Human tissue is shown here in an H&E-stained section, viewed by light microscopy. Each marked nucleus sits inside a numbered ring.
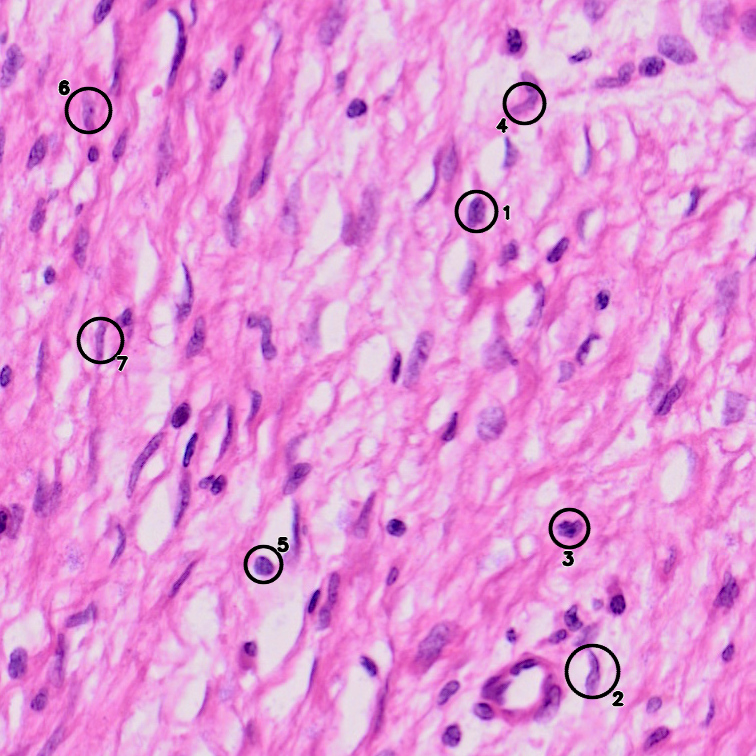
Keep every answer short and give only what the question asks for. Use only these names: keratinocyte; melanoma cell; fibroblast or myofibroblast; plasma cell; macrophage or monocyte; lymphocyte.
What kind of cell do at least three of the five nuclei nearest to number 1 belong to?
fibroblast or myofibroblast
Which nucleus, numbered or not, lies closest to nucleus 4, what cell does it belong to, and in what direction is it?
a macrophage or monocyte above nucleus 4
